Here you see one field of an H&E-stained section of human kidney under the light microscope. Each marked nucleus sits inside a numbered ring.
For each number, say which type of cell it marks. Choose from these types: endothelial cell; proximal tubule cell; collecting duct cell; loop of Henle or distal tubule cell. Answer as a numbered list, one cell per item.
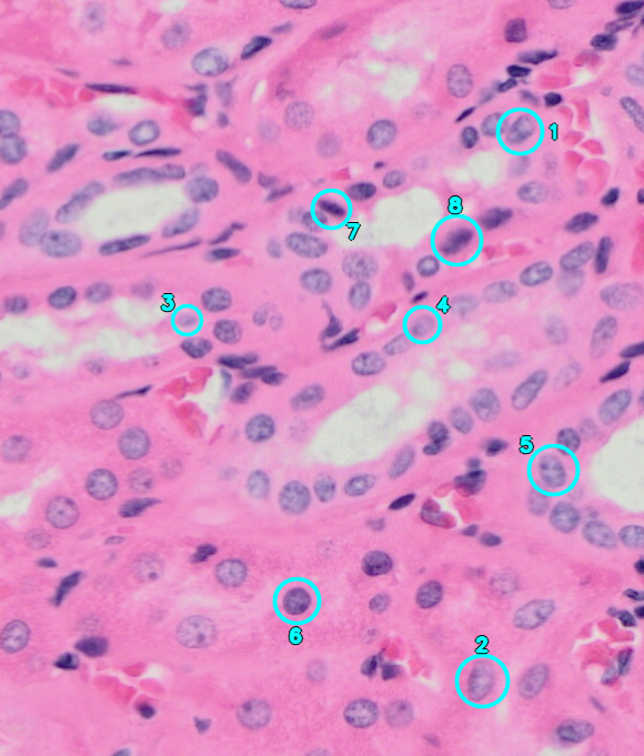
1. collecting duct cell
2. proximal tubule cell
3. loop of Henle or distal tubule cell
4. collecting duct cell
5. collecting duct cell
6. proximal tubule cell
7. collecting duct cell
8. collecting duct cell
